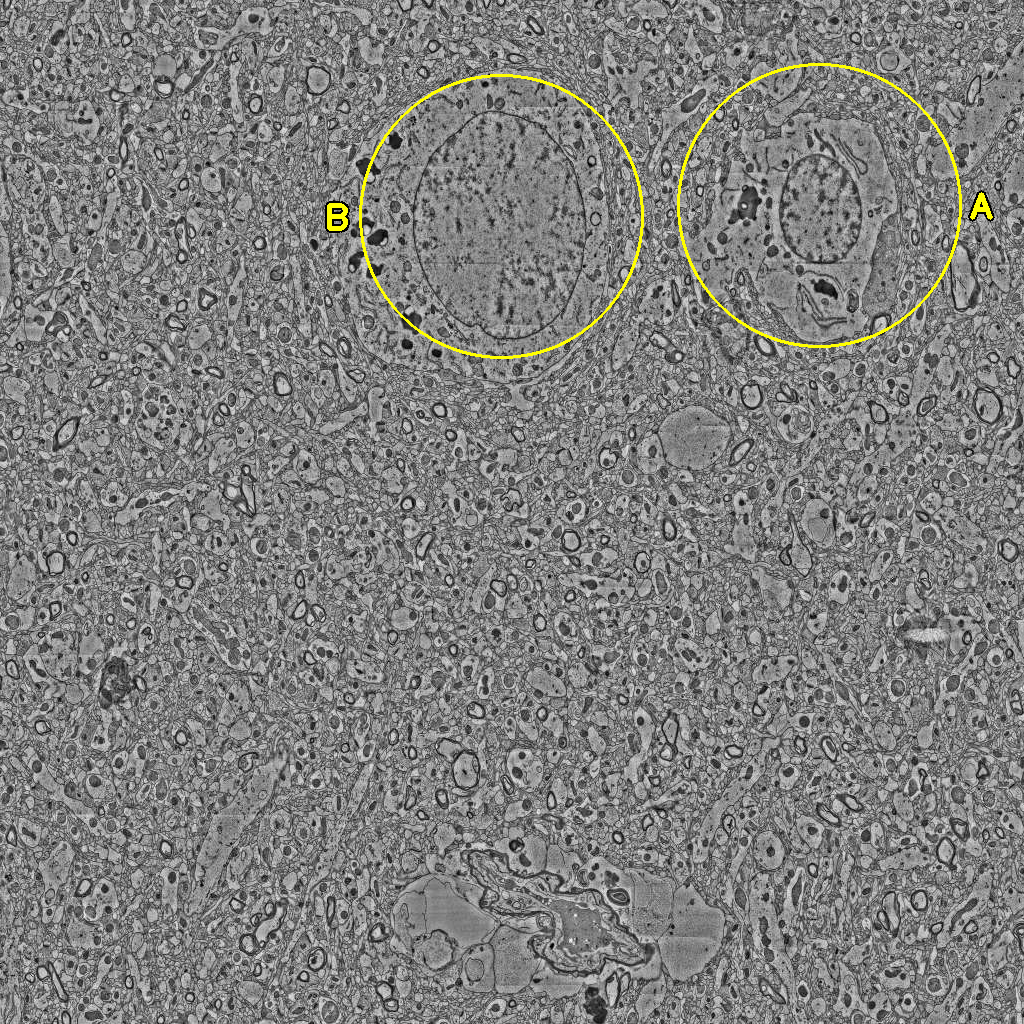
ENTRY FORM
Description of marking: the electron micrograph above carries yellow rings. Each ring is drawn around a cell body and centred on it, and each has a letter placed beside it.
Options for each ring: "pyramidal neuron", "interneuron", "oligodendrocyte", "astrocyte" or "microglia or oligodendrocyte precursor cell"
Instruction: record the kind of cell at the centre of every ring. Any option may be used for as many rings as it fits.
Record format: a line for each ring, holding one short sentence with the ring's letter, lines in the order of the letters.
Ring A surrounds the cell body of an astrocyte.
Ring B surrounds the cell body of a pyramidal neuron.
